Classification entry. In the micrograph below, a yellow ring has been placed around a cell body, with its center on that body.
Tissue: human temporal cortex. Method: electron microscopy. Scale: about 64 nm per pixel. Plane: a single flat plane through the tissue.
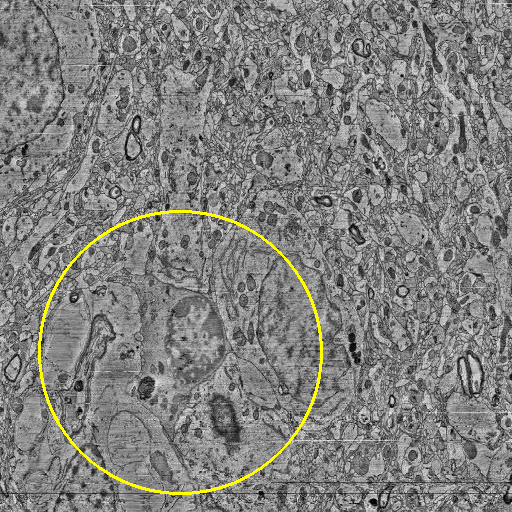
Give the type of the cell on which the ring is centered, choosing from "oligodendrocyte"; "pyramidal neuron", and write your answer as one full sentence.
The cell body at the center of the yellow ring belongs to an oligodendrocyte.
